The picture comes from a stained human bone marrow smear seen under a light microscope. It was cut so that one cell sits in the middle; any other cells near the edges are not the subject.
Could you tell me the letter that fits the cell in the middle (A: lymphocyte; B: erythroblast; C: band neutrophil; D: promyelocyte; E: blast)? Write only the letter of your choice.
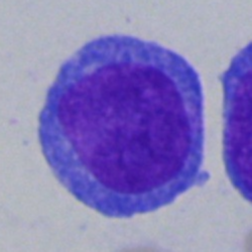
E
